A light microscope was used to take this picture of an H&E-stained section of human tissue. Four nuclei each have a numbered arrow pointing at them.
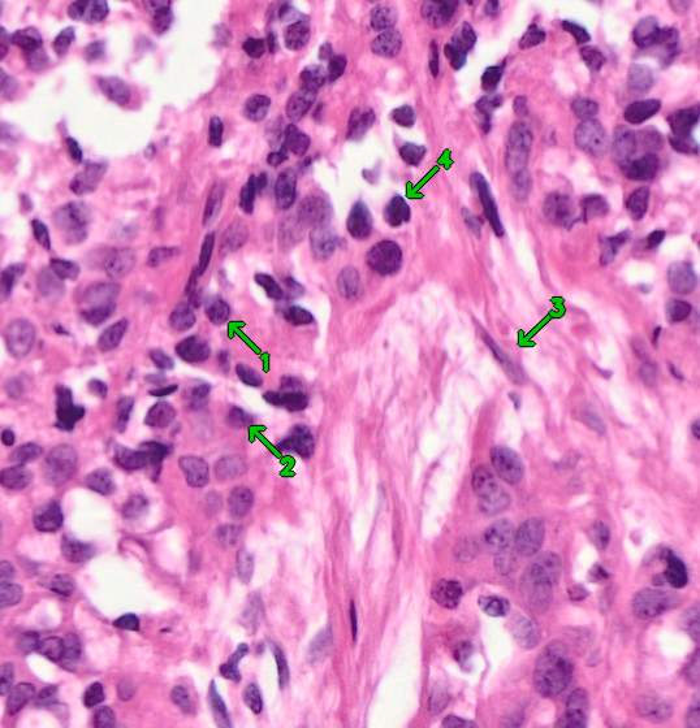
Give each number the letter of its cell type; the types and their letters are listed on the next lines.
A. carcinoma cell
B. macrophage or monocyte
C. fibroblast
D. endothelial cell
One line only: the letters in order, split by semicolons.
A; A; C; A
